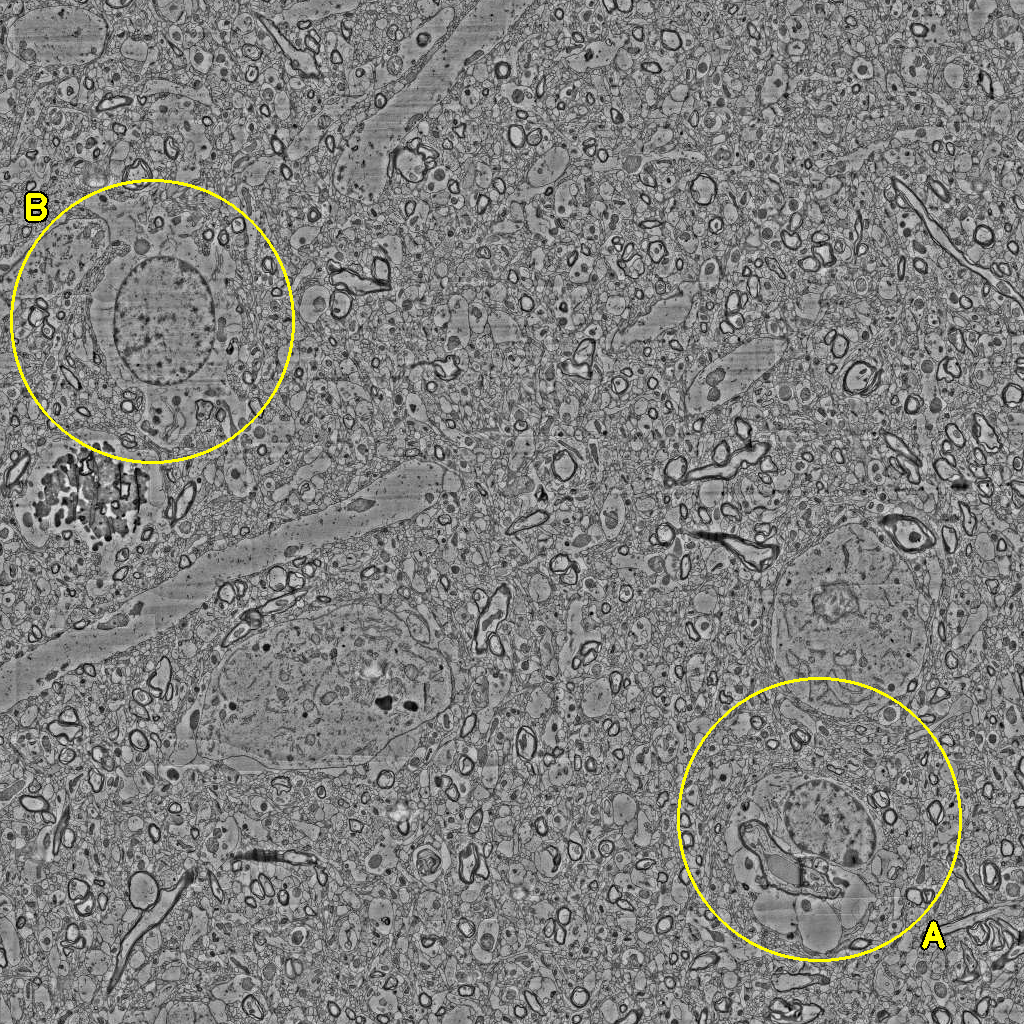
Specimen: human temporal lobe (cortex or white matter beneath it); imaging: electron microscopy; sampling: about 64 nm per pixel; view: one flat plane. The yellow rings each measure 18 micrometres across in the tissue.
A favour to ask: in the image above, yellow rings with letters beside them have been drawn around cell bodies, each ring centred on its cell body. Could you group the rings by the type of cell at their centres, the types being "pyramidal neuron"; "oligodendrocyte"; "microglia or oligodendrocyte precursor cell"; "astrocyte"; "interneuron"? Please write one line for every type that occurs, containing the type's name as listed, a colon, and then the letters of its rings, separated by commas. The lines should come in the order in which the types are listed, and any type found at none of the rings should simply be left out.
microglia or oligodendrocyte precursor cell: A
astrocyte: B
